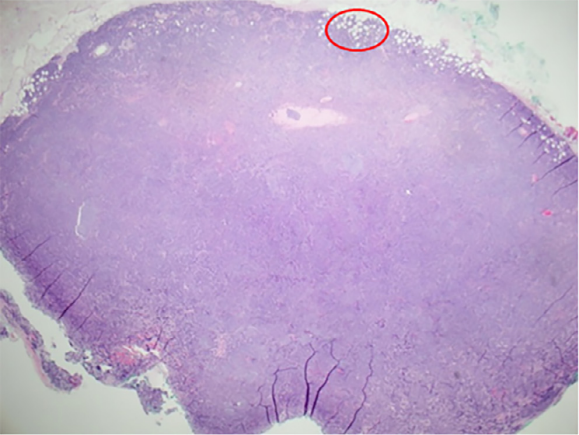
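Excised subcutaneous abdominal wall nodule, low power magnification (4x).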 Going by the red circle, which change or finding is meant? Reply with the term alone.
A: Tumor cell infiltration into the surrounding adipose tissue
